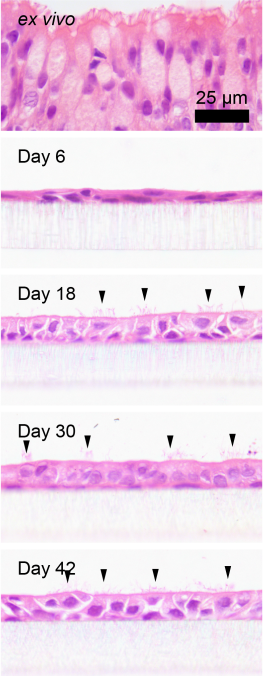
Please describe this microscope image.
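The native epithelium is tall, with nuclei at several levels and a pink, fringed apical surface bearing cilia. Pale, rounded cells with clear cytoplasm lie among the columnar cells. The cultured layers are far thinner, first a flat single sheet of cells and later a layer a few cells deep resting on a porous support. In these later layers, fine hair-like projections, marked by arrowheads, rise from scattered cells at the apical surface.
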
